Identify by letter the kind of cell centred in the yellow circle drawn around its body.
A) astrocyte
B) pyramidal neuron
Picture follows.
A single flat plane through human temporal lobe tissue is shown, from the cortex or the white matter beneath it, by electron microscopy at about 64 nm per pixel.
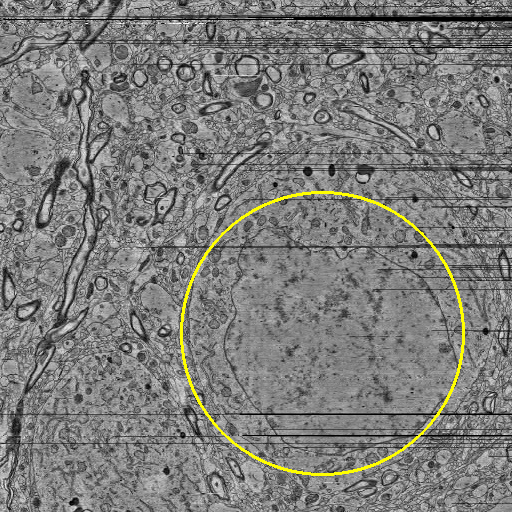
B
